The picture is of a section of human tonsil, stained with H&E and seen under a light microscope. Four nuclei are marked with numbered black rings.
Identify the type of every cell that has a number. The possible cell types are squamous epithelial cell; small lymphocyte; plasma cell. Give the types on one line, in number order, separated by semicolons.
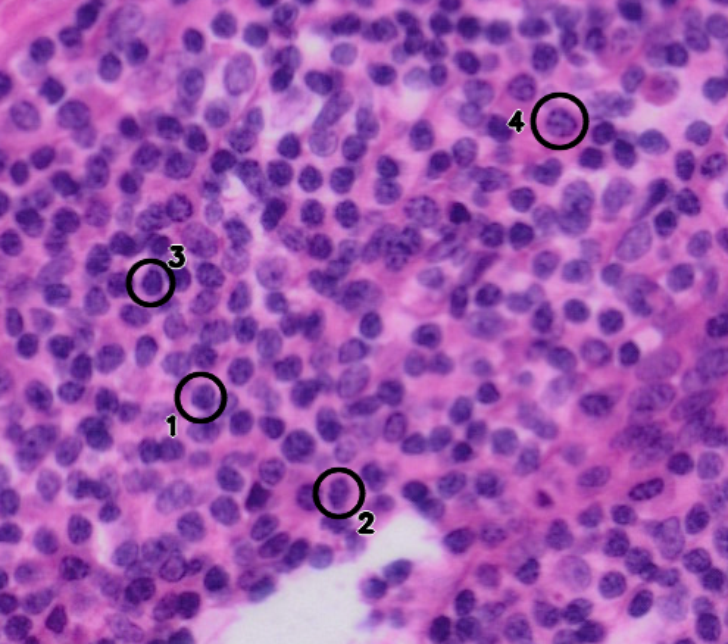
small lymphocyte; small lymphocyte; small lymphocyte; plasma cell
